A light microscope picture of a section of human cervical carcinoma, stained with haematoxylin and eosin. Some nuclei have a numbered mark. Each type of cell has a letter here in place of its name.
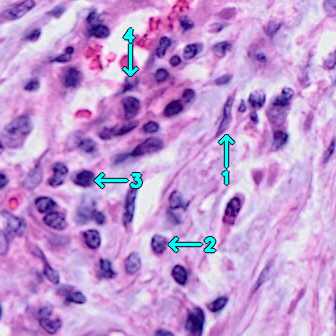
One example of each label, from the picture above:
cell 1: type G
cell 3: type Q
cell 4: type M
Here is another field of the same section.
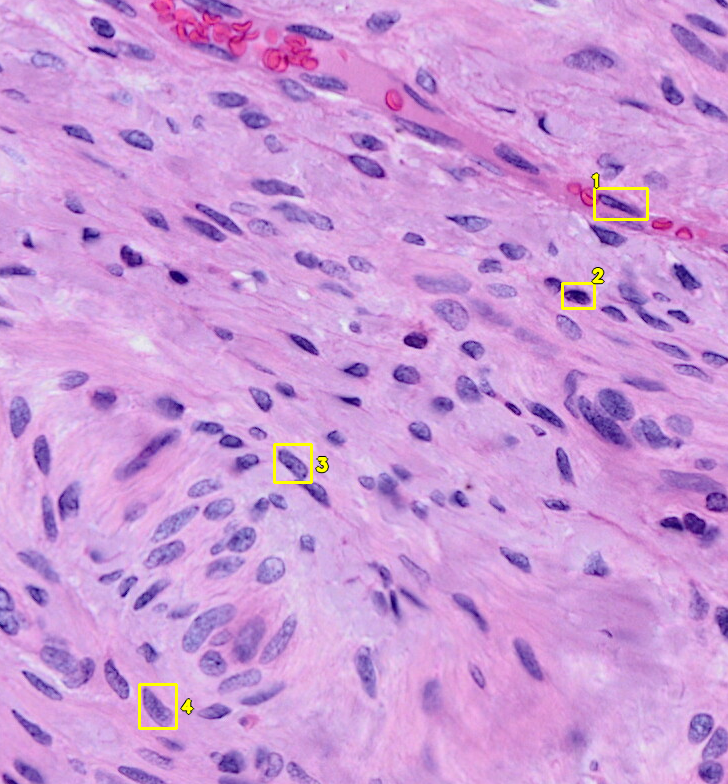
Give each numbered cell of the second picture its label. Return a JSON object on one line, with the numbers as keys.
{"1": "type M", "2": "type Q", "3": "type G", "4": "type G"}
